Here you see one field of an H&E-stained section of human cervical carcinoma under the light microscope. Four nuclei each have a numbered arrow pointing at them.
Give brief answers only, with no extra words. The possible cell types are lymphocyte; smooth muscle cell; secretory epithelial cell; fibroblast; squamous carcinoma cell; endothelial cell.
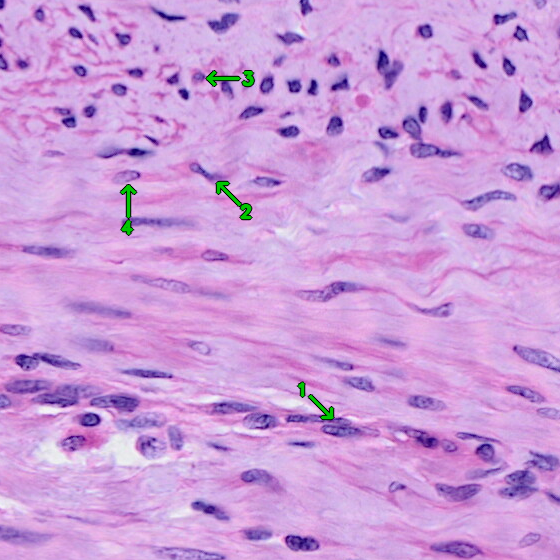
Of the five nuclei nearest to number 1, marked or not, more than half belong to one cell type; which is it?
endothelial cell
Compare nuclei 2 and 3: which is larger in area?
2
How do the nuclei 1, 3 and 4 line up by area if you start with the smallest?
3, 4, 1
